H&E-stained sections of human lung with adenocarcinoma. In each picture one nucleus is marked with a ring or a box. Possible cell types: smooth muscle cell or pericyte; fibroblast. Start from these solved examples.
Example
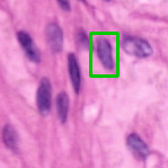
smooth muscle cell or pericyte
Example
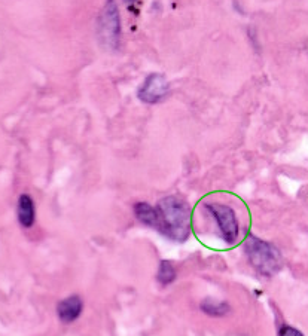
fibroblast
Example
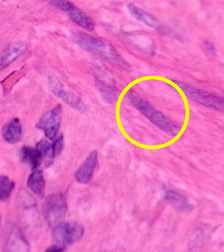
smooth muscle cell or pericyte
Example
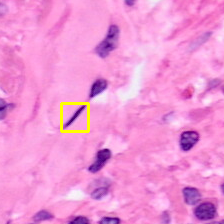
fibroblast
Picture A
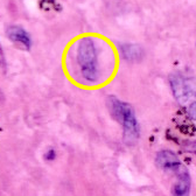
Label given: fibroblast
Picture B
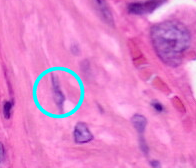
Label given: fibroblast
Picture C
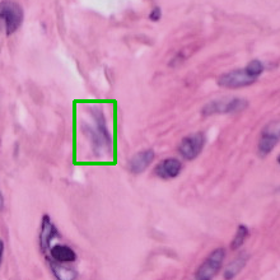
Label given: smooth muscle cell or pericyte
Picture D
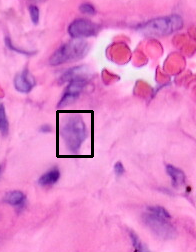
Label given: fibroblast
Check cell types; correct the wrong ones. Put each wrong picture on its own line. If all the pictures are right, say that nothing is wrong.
C: change smooth muscle cell or pericyte to fibroblast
